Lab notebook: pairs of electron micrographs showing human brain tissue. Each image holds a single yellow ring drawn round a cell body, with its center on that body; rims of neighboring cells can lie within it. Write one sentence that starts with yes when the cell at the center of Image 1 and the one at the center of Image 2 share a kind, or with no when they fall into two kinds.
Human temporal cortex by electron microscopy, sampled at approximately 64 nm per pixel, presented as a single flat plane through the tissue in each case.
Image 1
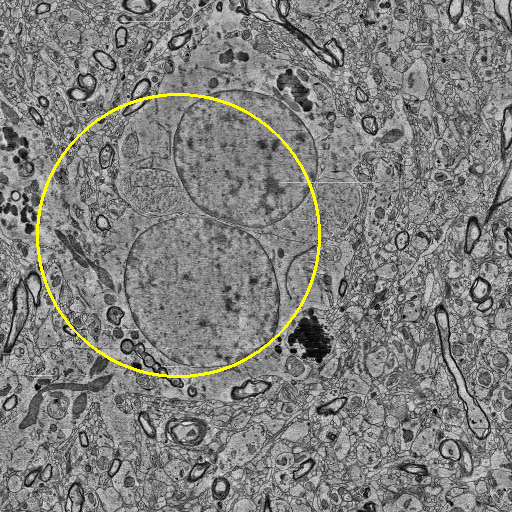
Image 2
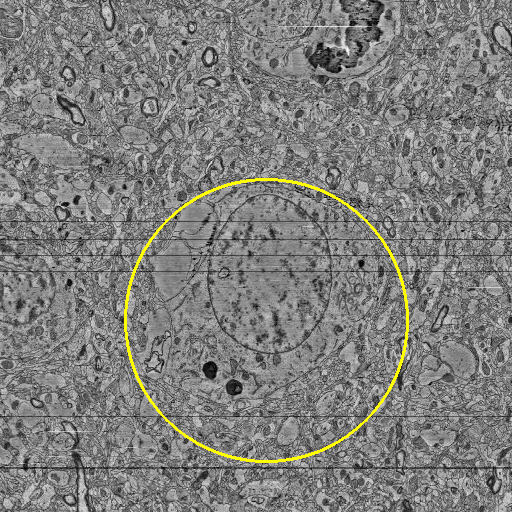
No, the centered cell in Image 1 and the centered cell in Image 2 are of two kinds.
